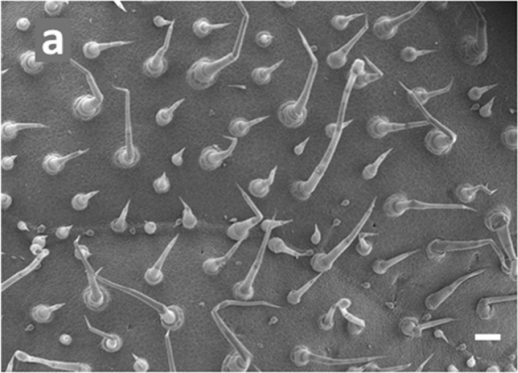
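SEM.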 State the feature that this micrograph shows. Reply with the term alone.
Trichomes.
